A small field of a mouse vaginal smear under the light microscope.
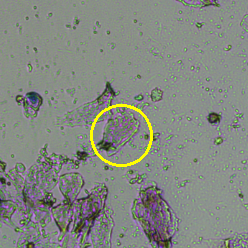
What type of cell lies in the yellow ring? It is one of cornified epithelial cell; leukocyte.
The ringed cell is a cornified epithelial cell.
